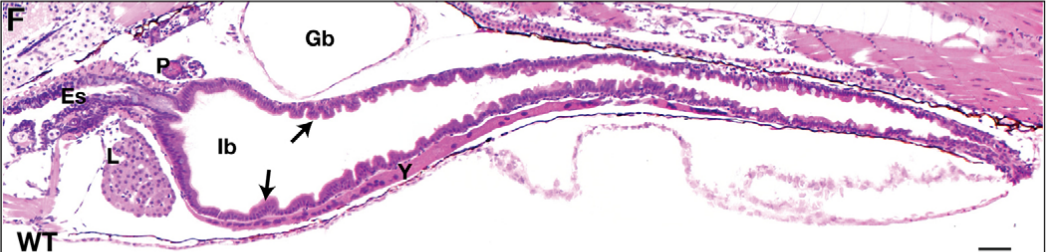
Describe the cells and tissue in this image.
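This section runs lengthwise through the gut of a larva, and the wide intestinal bulb is lined by a tall columnar epithelium. The epithelial cells have pink cytoplasm and purple, elongated nuclei lying in a row near the base of the layer. The lining is thrown into folds, the villi, that project into a wide, empty lumen, and the tube narrows as it runs toward the tail. In front of the bulb lie the narrow esophagus and the liver, made of packed polygonal cells, with the small pancreas above. The large, clear gas bladder sits over the gut, and only a thin yolk layer lies beneath it.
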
